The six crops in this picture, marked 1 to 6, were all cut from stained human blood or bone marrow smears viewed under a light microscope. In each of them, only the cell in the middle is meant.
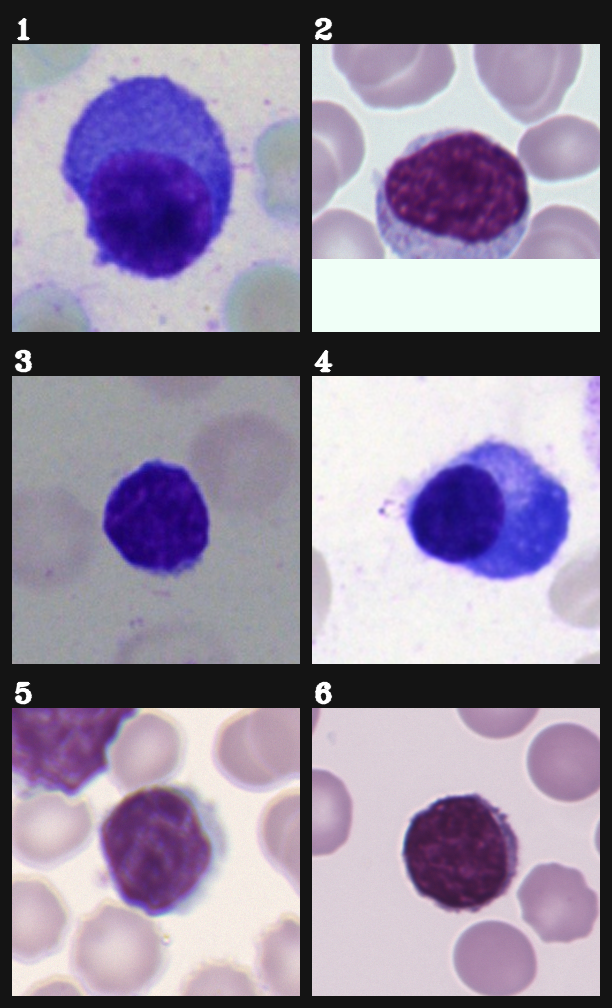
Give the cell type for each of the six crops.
1: plasma cell
2: lymphocyte
3: lymphocyte
4: plasma cell
5: lymphocyte
6: lymphocyte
